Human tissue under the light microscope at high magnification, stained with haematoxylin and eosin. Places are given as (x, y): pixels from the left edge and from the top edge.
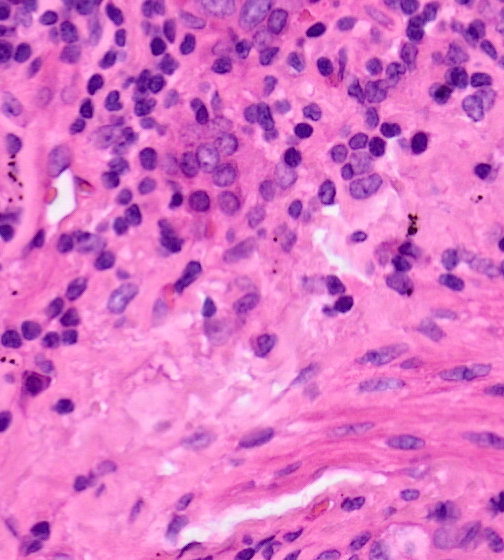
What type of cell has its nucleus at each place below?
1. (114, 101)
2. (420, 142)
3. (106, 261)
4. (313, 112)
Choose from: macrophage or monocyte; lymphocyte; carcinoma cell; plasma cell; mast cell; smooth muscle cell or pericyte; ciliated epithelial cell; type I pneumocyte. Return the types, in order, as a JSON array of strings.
["lymphocyte", "plasma cell", "lymphocyte", "lymphocyte"]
